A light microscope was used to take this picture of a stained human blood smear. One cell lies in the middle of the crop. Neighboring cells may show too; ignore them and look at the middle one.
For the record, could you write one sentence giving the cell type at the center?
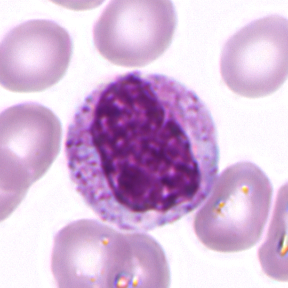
The cell sitting right in the middle is a metamyelocyte.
